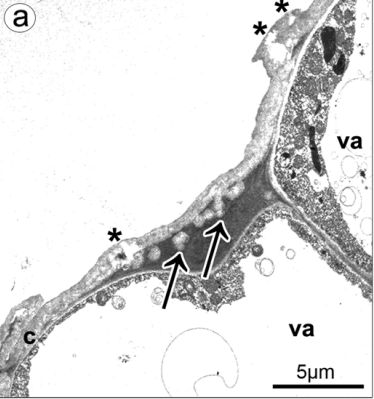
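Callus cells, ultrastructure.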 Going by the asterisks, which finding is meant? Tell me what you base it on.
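Swelled and almost ruptured. The outer surface layer at the asterisks is thickened and irregular. The layer appears lifted and broken up along its edge.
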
